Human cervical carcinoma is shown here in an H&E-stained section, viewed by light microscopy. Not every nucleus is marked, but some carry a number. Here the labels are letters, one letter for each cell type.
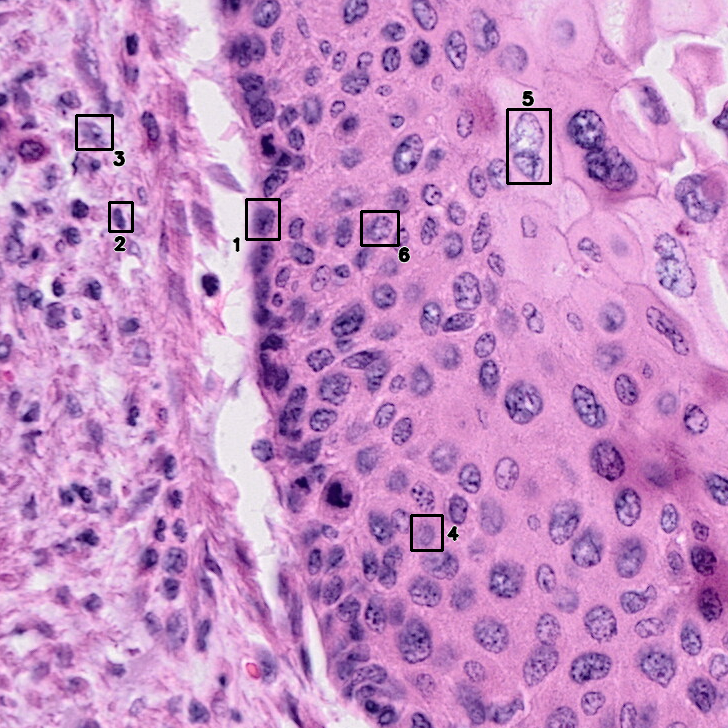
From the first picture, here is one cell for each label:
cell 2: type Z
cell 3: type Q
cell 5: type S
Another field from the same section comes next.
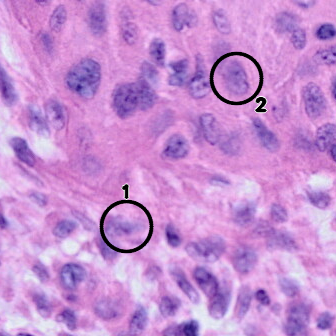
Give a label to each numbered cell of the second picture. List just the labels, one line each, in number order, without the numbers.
type Q
type S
